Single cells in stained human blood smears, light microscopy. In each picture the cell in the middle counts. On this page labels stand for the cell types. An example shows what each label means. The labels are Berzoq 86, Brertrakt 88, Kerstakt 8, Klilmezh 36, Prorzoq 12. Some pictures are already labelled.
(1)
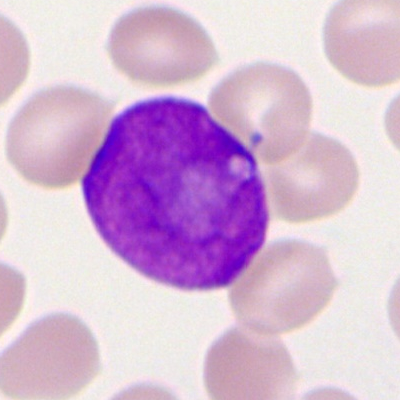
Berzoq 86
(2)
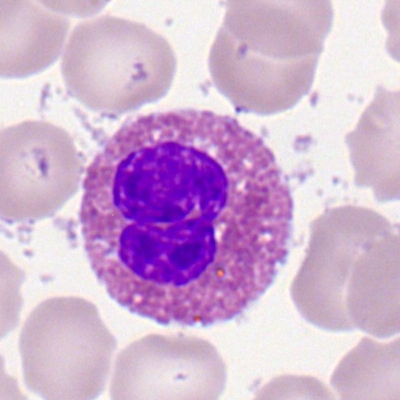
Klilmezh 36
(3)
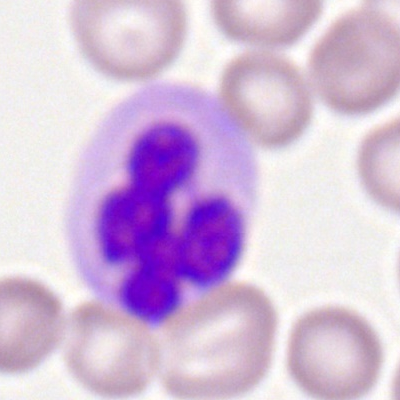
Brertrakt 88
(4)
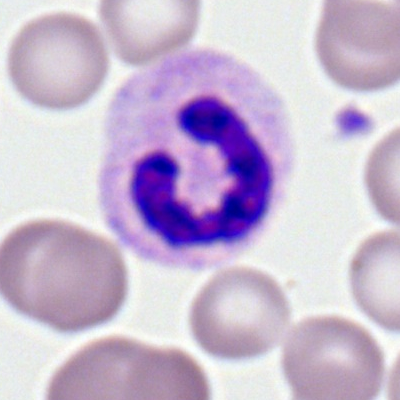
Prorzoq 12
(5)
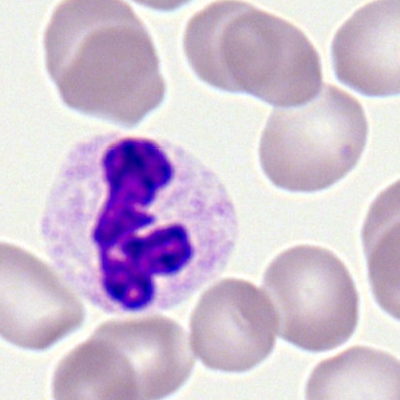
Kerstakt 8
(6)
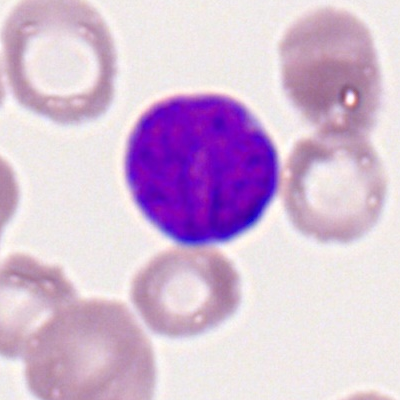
Berzoq 86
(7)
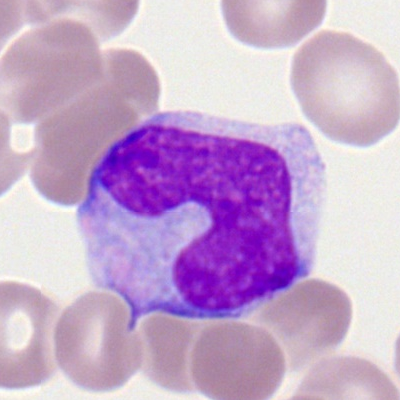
Brertrakt 88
